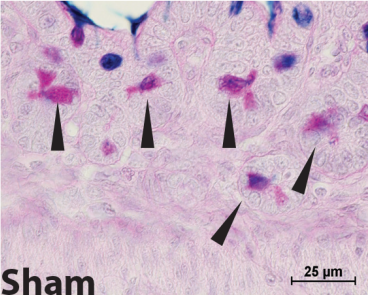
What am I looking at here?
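This is the base of small-intestinal crypts in which several Paneth cells are seen. These cells sit along the crypt bottom and carry clusters of intensely magenta granules in their cytoplasm. The surrounding epithelial cells are pale pink with faintly outlined, rounded nuclei. Some dark blue-stained material appears in cells toward the upper part of the field. Beneath the crypts lies a pale pink layer of supporting tissue.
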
